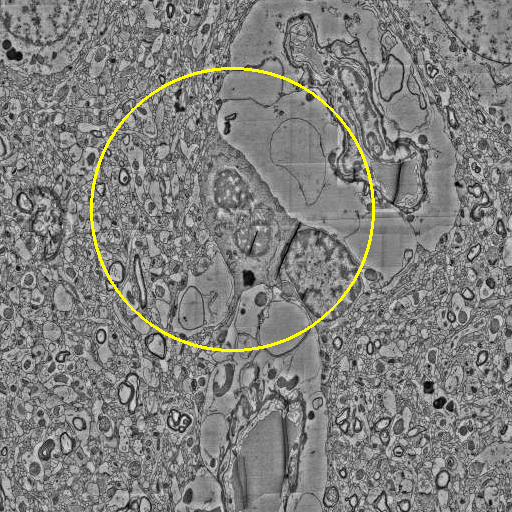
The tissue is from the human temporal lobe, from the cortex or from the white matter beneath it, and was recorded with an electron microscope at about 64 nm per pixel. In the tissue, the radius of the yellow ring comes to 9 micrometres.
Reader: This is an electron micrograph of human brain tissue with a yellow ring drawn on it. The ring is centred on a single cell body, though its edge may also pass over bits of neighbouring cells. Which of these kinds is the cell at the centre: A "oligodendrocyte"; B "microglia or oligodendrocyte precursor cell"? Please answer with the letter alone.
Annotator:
A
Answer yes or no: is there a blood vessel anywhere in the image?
Yes, one appears.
